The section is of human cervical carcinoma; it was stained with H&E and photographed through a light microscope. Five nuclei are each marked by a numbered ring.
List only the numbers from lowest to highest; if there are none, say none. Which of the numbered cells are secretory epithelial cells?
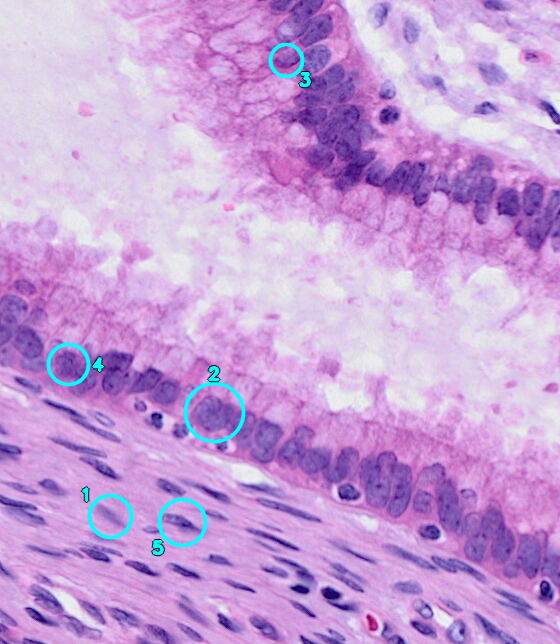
2, 3, 4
